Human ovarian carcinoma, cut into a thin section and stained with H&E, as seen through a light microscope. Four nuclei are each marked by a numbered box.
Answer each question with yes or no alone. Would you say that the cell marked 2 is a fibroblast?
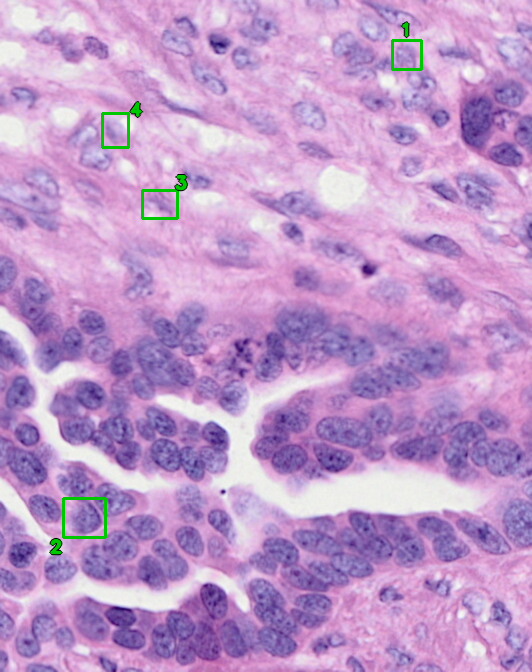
no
